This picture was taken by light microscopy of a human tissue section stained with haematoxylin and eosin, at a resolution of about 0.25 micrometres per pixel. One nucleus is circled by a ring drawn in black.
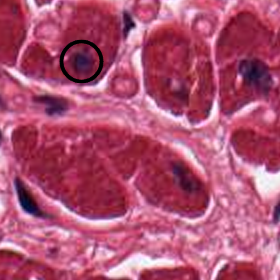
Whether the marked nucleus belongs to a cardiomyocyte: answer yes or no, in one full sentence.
Yes, the nucleus bearing the mark is that of a cardiomyocyte.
